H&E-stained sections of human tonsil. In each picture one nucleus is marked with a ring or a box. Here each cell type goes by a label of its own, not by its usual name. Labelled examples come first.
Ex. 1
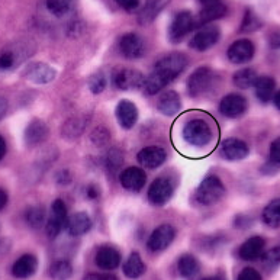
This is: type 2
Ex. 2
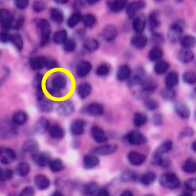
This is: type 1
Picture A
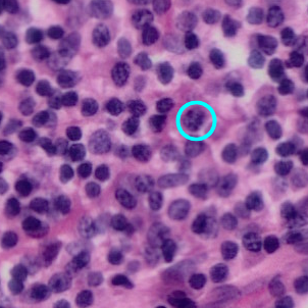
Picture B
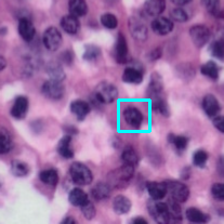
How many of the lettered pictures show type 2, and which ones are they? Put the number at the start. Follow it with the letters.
Count: 2 (A, B)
